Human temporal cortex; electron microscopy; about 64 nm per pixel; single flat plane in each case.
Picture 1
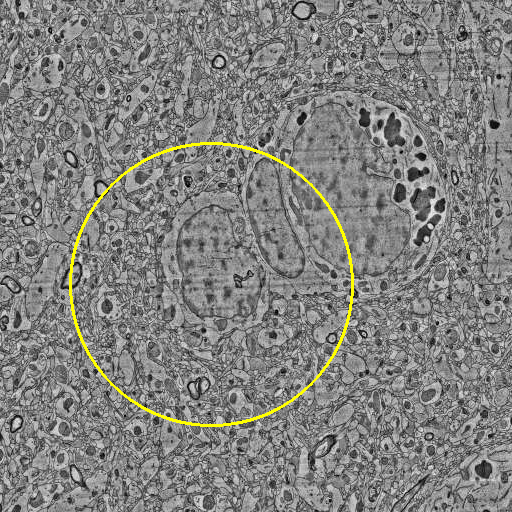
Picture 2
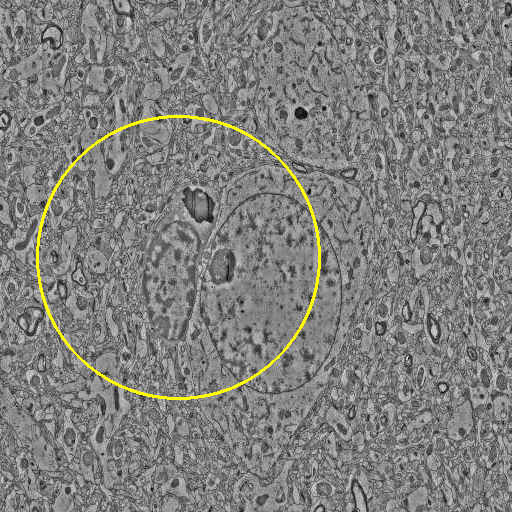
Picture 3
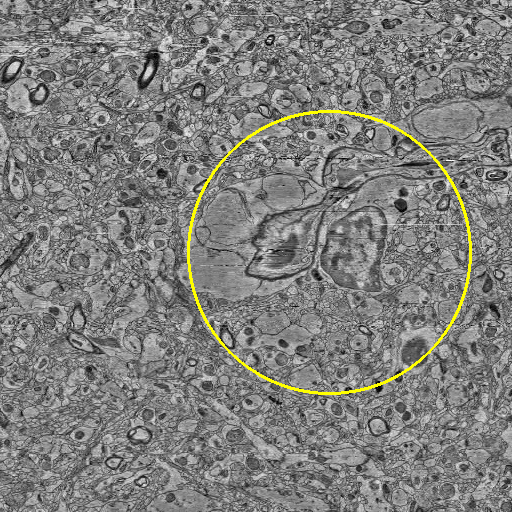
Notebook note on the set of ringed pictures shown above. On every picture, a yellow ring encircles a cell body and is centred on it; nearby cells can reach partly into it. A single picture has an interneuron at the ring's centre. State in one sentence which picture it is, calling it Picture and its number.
Picture 1 is the one whose ring is centred on the sought cell.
